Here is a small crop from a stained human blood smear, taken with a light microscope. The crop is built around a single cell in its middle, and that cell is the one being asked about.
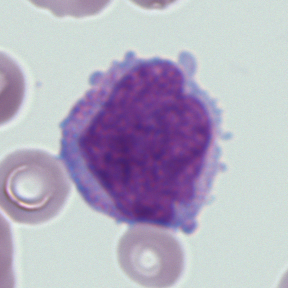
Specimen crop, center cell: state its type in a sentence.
Whatever else lies nearby, the middle cell is an atypical promyelocyte.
